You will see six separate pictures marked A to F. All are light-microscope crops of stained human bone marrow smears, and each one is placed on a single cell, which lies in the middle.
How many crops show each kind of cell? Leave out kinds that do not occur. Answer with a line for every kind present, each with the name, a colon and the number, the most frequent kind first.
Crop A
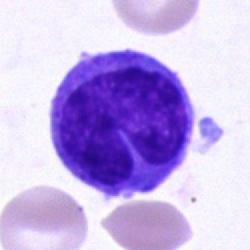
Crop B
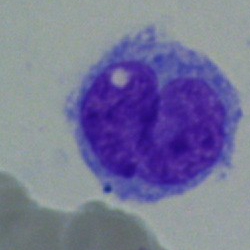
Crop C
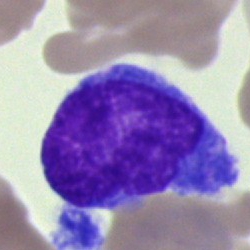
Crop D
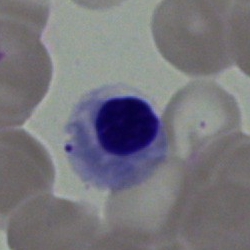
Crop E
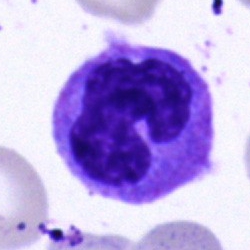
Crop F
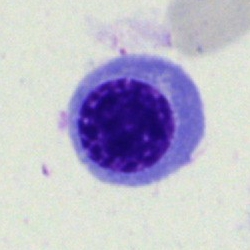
monocyte: 4
normoblast: 2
